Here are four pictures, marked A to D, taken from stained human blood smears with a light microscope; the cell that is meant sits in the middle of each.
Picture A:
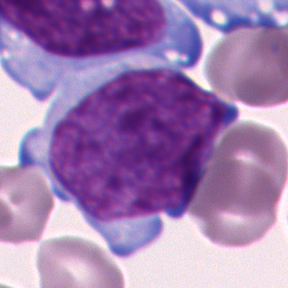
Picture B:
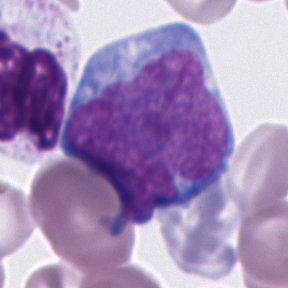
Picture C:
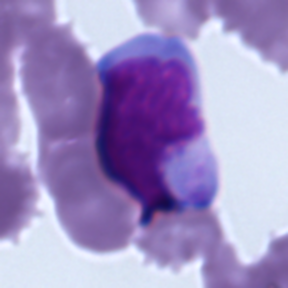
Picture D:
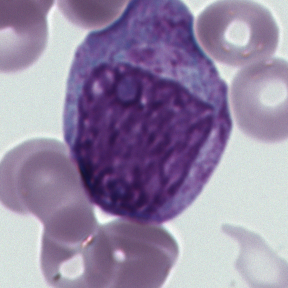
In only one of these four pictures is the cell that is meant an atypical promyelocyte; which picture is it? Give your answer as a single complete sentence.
The picture with the atypical promyelocyte is D.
